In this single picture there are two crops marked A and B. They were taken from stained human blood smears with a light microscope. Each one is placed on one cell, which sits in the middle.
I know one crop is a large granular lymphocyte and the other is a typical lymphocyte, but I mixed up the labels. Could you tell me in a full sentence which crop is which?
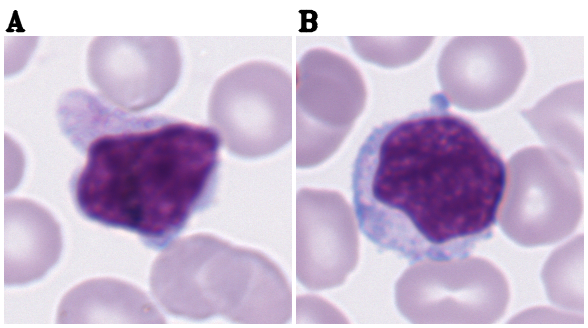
Respectively, crops A and B show a large granular lymphocyte and a typical lymphocyte.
